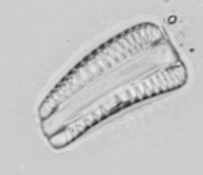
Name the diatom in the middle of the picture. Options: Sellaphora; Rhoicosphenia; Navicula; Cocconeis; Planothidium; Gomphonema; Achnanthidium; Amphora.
Rhoicosphenia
